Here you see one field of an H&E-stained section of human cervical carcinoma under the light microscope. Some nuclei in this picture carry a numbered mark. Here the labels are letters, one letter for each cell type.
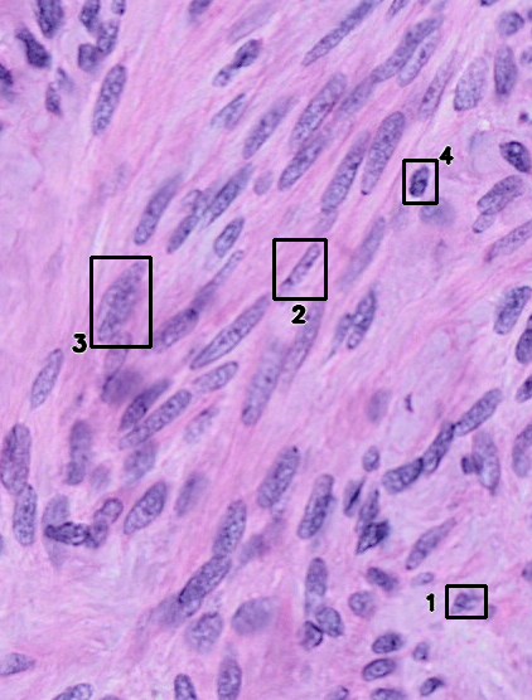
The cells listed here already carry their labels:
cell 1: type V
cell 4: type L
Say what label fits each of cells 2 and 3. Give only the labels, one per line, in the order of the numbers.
type V
type V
